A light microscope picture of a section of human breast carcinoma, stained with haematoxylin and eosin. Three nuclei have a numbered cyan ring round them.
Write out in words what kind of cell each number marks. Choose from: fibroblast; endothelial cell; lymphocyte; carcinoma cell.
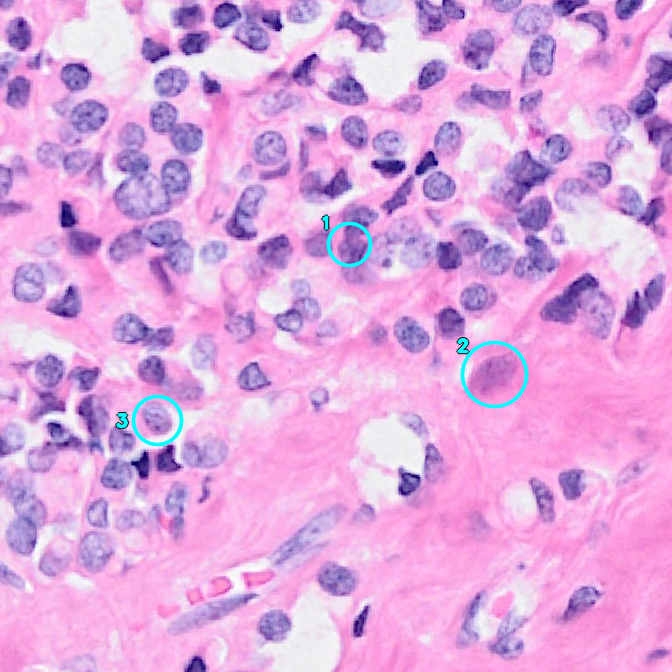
Cells 1 and 3 are carcinoma cells. Cell 2 is a fibroblast.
